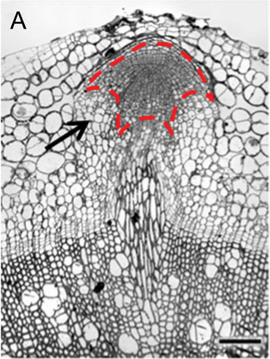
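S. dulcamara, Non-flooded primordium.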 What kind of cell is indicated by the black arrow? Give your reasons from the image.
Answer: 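Parenchymatic cortex cells. The arrow points to large, pale, thin-walled cells beside the primordium. These cells lie at the base of the densely stained primordium.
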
